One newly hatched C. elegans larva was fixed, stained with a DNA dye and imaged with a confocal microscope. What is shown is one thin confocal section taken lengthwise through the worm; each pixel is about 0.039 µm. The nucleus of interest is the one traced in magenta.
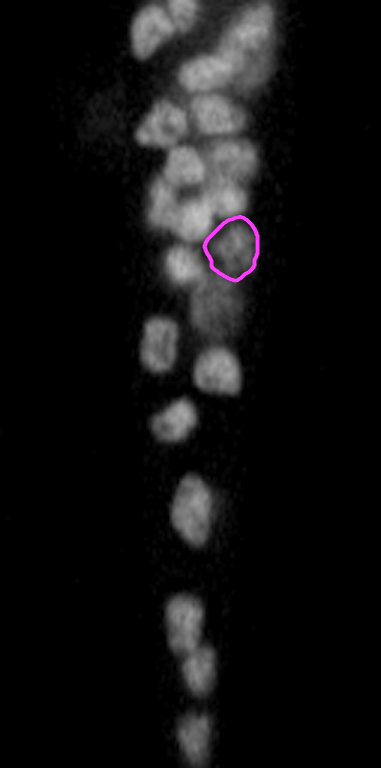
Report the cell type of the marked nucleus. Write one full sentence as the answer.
It belongs to a body wall muscle cell.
